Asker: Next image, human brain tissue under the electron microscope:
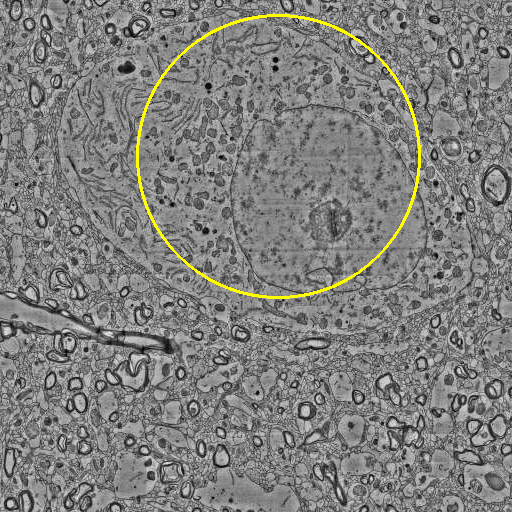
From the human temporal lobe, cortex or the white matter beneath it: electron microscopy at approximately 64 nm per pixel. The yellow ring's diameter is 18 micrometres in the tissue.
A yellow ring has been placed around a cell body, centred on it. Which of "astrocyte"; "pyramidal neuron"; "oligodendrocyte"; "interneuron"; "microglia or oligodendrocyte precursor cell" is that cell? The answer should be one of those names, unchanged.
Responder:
interneuron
